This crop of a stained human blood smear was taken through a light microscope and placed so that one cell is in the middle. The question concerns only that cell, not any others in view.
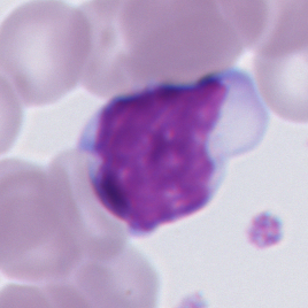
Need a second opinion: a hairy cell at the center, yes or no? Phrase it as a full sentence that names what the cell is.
No, the correct answer for the middle cell is a large granular lymphocyte, not a hairy cell.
